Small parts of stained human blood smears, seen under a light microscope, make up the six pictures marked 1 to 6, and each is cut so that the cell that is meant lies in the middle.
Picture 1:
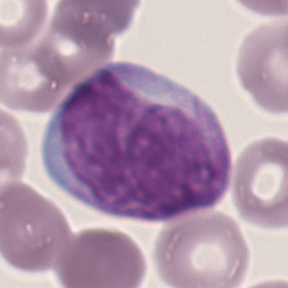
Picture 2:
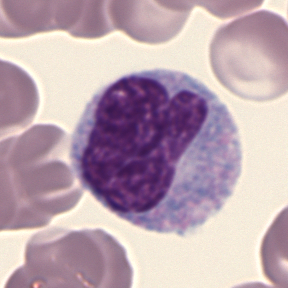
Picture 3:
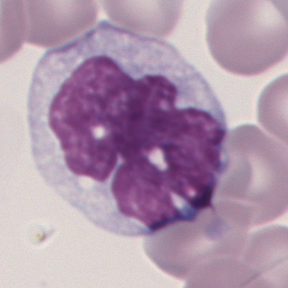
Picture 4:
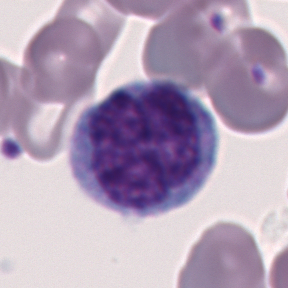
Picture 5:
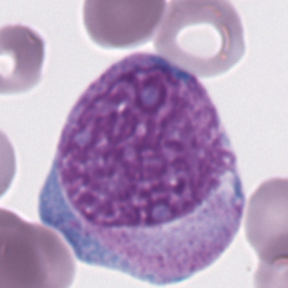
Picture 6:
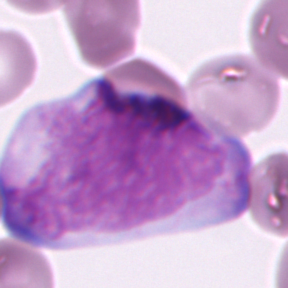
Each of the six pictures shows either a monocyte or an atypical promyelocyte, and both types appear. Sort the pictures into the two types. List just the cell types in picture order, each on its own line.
atypical promyelocyte
monocyte
monocyte
monocyte
atypical promyelocyte
atypical promyelocyte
